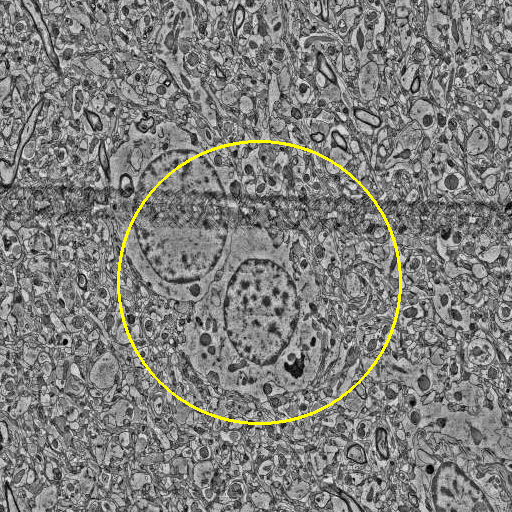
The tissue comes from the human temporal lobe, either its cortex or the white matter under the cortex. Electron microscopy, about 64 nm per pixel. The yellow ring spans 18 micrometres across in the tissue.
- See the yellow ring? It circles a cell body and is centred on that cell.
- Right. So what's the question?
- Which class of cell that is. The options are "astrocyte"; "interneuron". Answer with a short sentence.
The centre of the ring holds an astrocyte.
